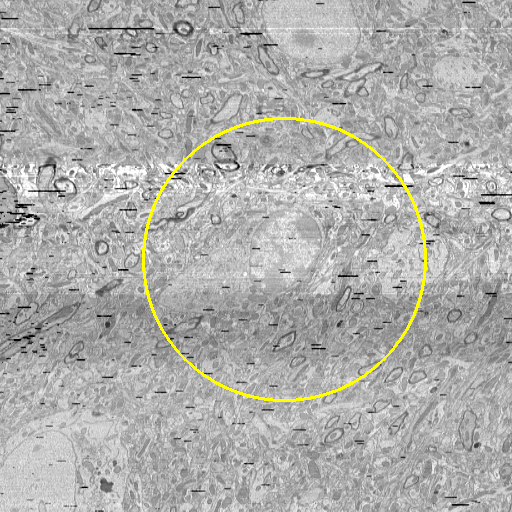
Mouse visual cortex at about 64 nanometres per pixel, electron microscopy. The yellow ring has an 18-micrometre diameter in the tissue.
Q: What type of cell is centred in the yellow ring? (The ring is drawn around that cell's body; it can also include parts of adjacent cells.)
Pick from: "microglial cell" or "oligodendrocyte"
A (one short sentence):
The yellow ring is centred on an oligodendrocyte.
